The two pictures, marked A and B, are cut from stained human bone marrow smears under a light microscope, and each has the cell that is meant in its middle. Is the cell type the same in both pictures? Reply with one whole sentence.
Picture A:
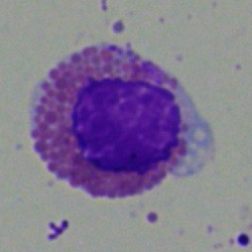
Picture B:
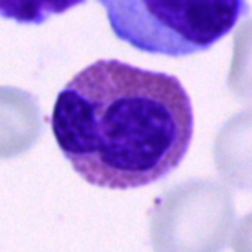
Yes, they are the same type: both are eosinophils.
